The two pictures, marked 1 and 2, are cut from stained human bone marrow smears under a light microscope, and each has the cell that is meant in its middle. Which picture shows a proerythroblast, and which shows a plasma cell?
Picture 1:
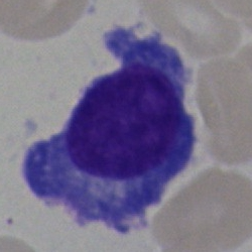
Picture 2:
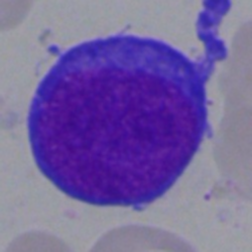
1: plasma cell
2: proerythroblast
